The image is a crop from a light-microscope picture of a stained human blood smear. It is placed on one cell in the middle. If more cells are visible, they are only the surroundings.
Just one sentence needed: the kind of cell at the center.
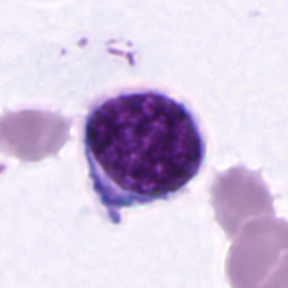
The cell positioned in the middle of the field is a plasma cell.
